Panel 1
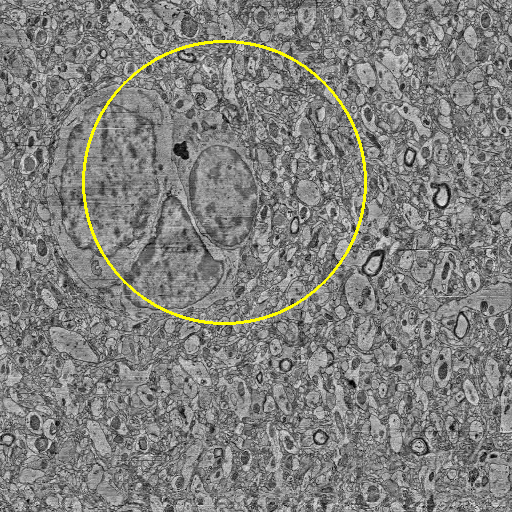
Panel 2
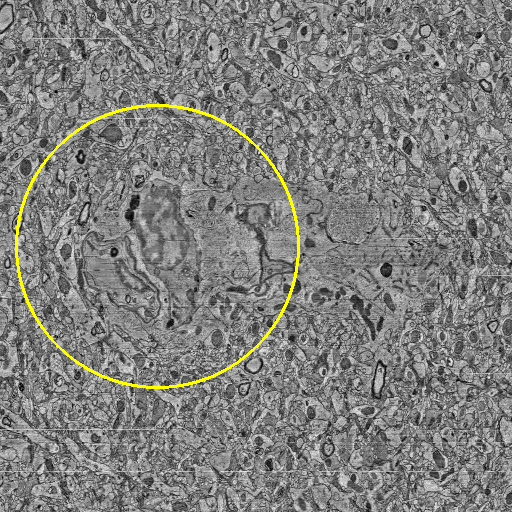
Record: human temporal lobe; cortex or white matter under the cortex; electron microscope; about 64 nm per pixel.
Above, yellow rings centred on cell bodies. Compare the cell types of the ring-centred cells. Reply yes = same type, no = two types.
yes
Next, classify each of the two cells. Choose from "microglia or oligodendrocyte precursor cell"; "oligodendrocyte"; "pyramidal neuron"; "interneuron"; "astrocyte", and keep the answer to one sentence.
The cell in the first picture is an oligodendrocyte, and so is the one in the second.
